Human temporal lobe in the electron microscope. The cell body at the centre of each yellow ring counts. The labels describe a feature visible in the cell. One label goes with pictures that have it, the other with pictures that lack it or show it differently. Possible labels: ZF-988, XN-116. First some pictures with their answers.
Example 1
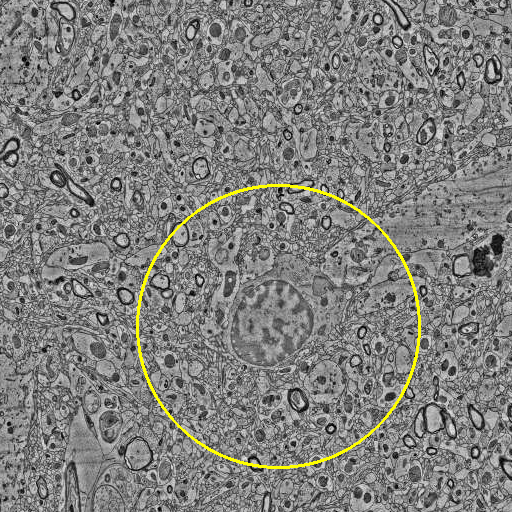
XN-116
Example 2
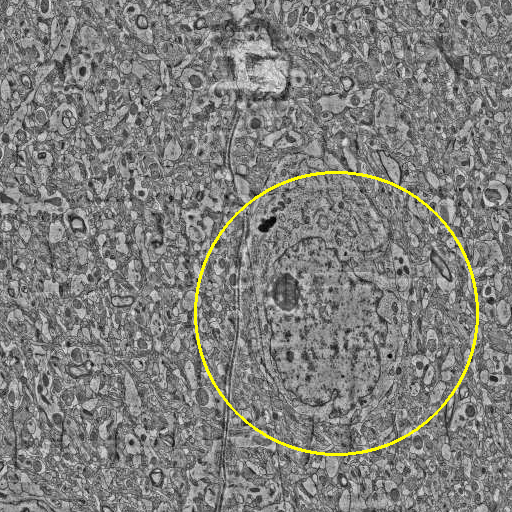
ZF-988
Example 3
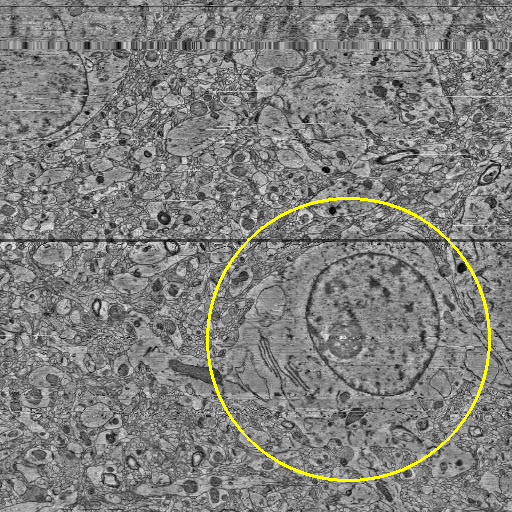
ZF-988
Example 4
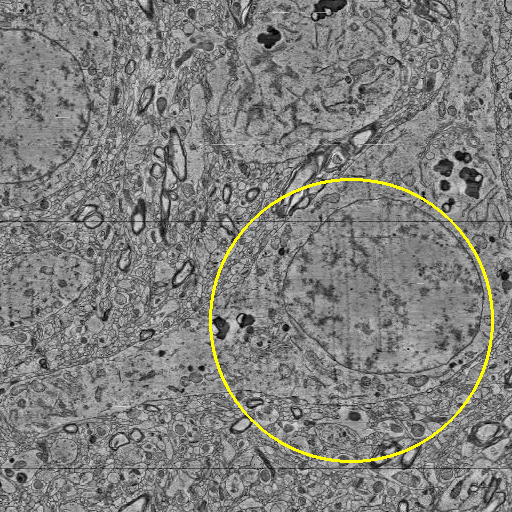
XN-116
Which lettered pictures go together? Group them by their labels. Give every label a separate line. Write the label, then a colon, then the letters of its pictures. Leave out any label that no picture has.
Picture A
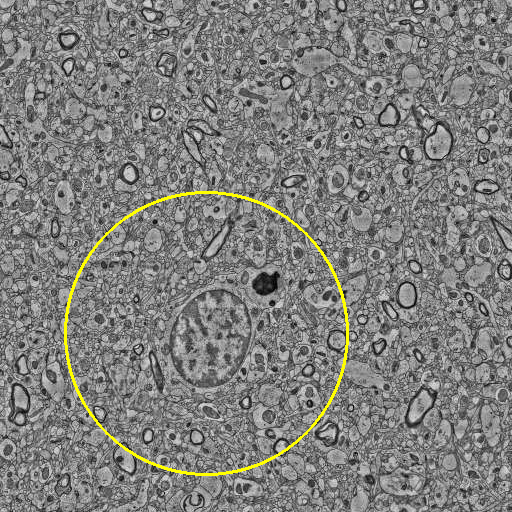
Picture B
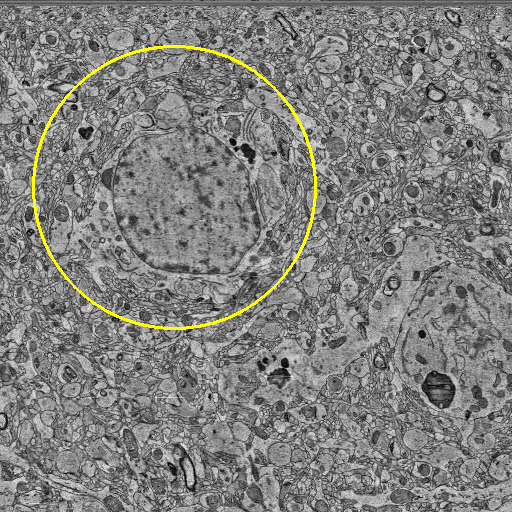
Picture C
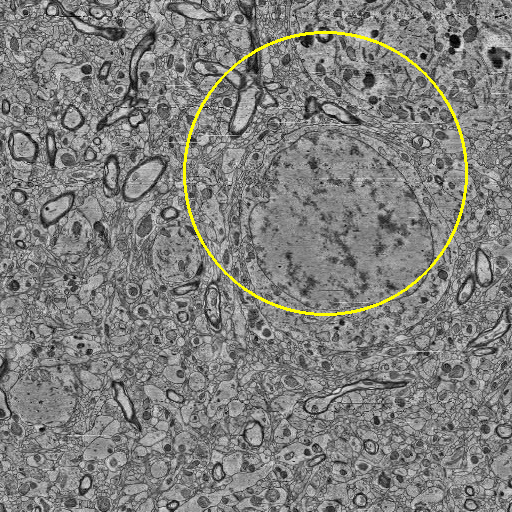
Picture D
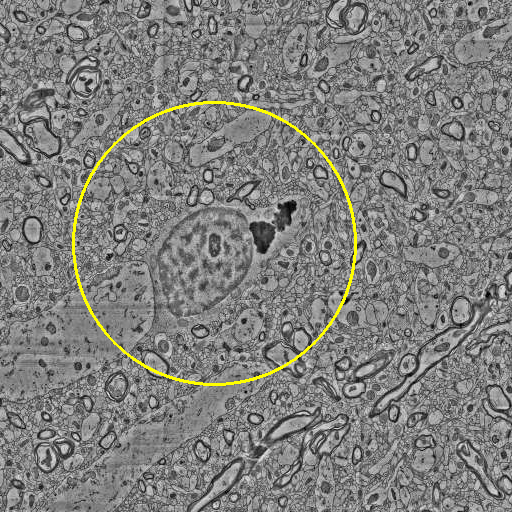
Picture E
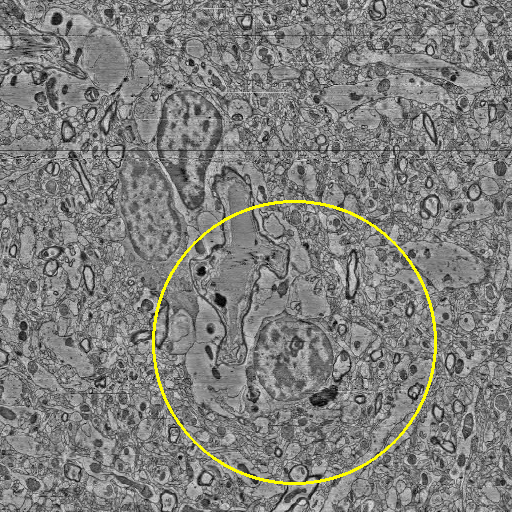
ZF-988: D, E
XN-116: A, B, C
